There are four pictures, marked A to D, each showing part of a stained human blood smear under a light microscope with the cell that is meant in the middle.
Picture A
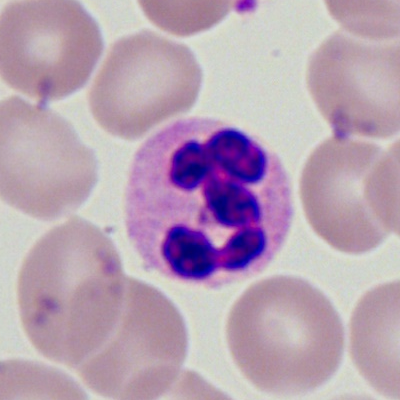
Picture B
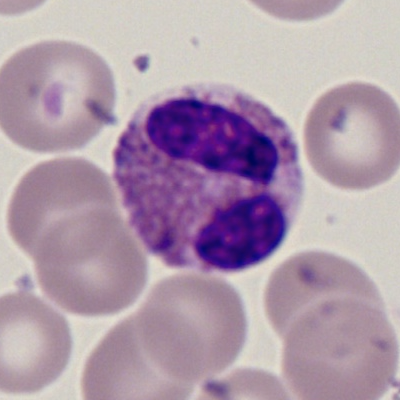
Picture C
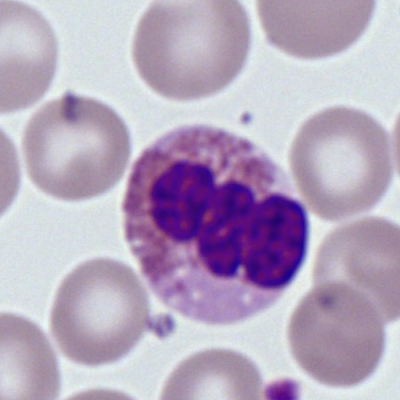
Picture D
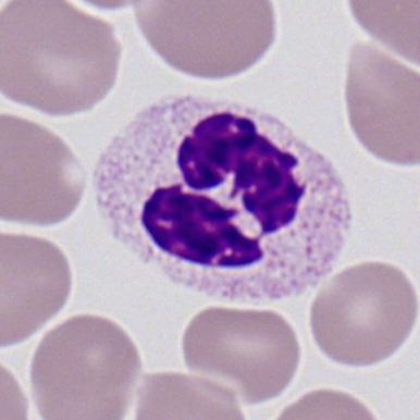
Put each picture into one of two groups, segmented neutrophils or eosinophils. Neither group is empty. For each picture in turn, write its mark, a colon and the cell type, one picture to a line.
A: segmented neutrophil
B: eosinophil
C: eosinophil
D: segmented neutrophil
